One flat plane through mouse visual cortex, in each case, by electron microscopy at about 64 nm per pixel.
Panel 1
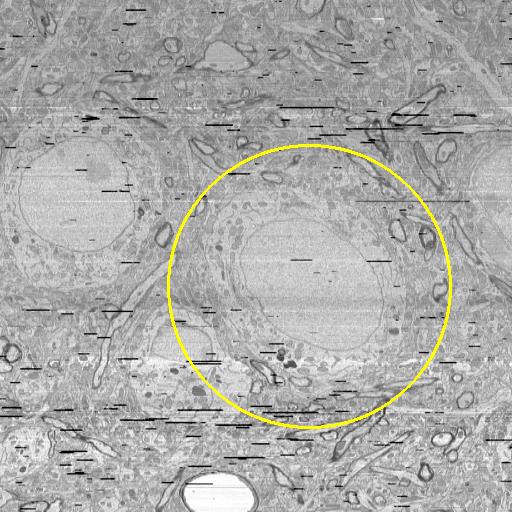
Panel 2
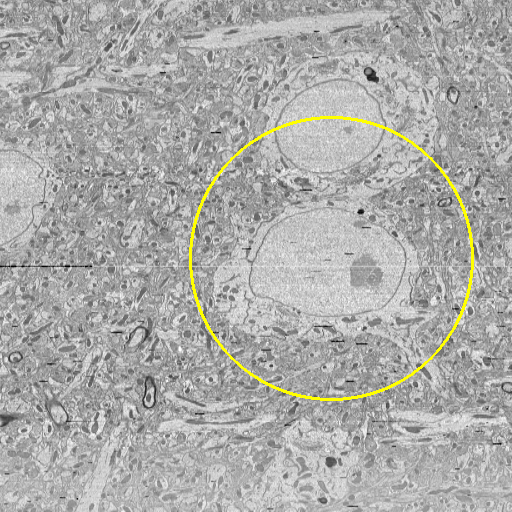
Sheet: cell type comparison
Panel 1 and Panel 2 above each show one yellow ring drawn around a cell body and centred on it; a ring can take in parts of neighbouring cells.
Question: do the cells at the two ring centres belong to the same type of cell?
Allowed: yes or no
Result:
yes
